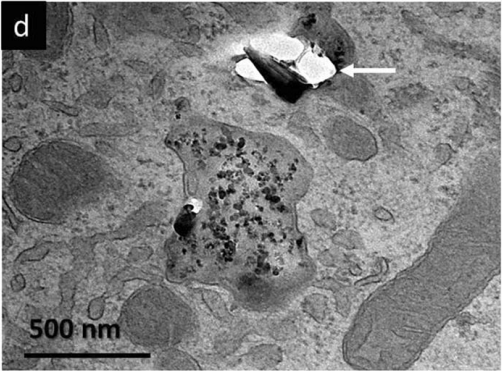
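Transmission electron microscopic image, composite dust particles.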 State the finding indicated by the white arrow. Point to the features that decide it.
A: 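The arrow points to bright white empty spaces with sharp edges beside a dark angular particle.
Conclusion: artifacts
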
